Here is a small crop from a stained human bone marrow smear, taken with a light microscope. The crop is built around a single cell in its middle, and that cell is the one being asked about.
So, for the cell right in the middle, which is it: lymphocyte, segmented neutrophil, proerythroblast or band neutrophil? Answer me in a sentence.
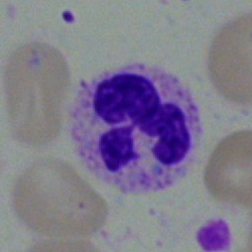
Whatever else lies nearby, the middle cell is a segmented neutrophil.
